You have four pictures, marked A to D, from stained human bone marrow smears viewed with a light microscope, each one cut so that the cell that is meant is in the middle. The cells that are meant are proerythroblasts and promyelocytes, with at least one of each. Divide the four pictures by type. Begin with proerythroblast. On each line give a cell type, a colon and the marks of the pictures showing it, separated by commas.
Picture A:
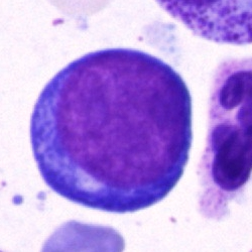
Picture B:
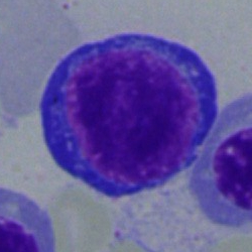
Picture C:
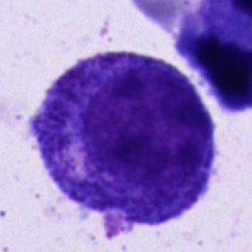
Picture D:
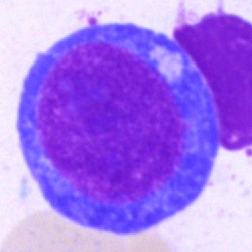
proerythroblast: A, B, D
promyelocyte: C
